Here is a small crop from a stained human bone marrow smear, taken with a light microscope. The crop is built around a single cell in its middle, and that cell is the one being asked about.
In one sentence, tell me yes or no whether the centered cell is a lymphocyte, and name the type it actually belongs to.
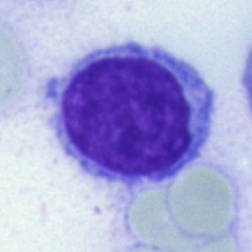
Yes, the cell at the midpoint of the crop is a lymphocyte.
